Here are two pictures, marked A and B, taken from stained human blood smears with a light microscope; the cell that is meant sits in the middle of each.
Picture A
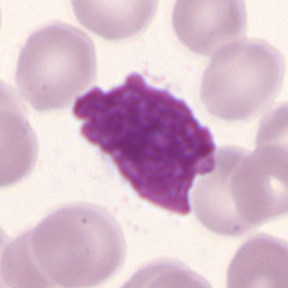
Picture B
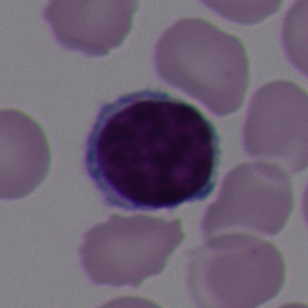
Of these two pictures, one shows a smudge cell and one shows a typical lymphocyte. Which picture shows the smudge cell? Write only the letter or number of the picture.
A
